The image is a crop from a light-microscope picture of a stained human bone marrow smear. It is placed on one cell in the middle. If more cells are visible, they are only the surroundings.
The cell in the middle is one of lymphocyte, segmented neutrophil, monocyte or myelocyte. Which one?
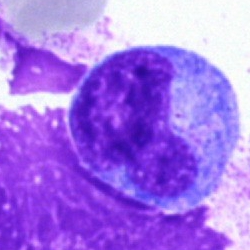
monocyte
